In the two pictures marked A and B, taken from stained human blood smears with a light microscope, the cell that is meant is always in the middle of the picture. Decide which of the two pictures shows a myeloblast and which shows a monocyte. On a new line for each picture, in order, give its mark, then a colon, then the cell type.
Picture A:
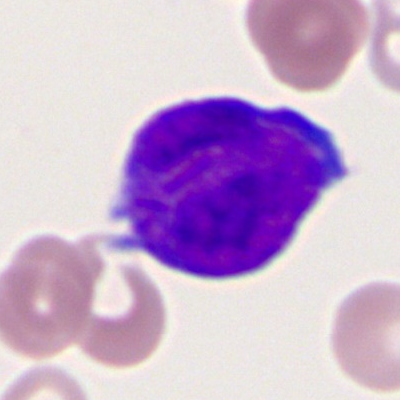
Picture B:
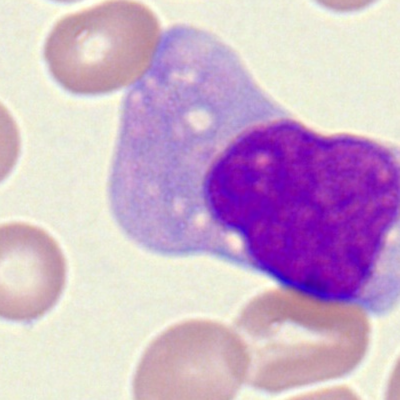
A: myeloblast
B: monocyte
